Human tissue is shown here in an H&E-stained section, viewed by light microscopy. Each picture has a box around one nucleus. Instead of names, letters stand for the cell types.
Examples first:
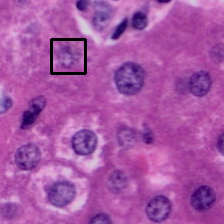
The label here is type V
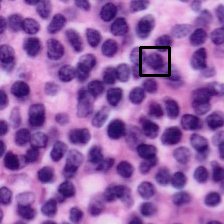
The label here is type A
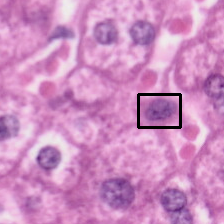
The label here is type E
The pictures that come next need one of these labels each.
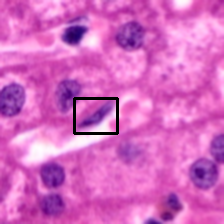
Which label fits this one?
type E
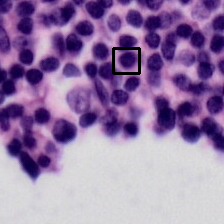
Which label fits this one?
type A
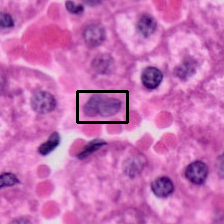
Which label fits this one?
type E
